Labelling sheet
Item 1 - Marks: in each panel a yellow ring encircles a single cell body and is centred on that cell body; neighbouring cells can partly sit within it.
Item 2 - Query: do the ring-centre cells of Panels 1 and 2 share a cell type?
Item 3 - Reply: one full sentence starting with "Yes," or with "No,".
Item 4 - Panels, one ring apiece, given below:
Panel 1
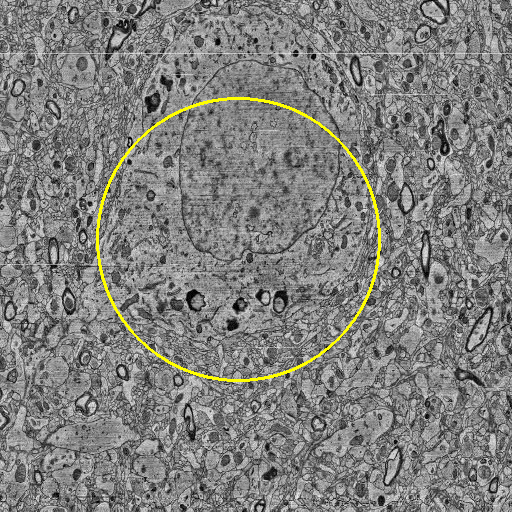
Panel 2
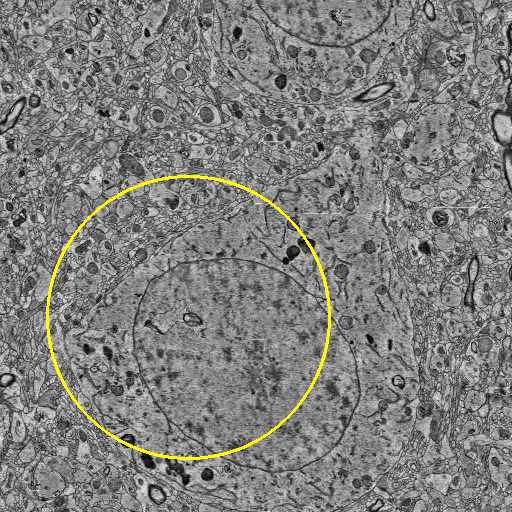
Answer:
Yes, Panel 1 and Panel 2 show one cell type at the centres of their rings.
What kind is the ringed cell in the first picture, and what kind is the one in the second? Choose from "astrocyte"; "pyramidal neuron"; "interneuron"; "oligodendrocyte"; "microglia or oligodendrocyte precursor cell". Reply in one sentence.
Both the first and the second picture show a pyramidal neuron in the ring.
